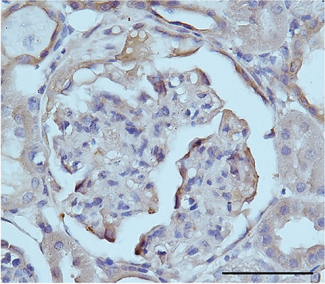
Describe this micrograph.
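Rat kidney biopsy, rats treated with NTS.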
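A glomerulus with its glomerular tuft fills the centre, surrounded by a clear space, a thin capsule and cross-sections of tubules. The tuft is lobulated, with many blue-stained nuclei among open capillary loops. Brown stain is concentrated along the outer edge of the tuft where cells face the clear space, and some brown also lies along the capsule and in neighbouring tubule cells.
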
